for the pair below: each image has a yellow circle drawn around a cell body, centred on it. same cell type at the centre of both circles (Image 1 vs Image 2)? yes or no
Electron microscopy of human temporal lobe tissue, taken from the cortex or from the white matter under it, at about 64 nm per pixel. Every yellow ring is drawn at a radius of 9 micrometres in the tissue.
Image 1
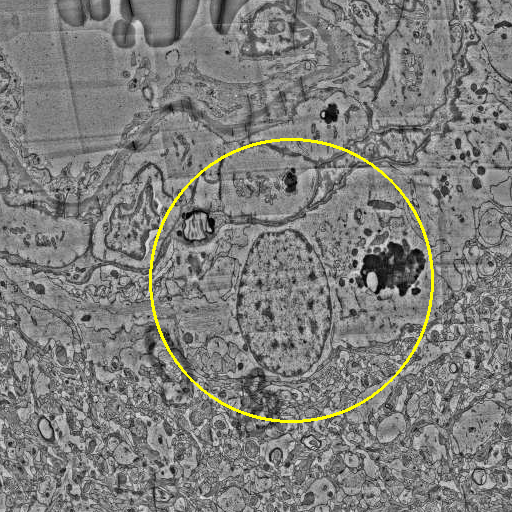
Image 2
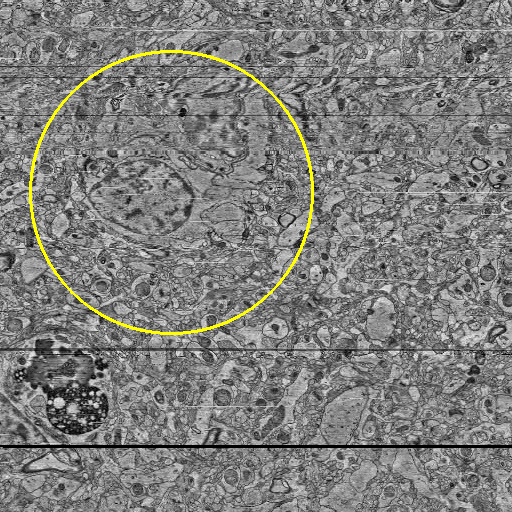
yes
